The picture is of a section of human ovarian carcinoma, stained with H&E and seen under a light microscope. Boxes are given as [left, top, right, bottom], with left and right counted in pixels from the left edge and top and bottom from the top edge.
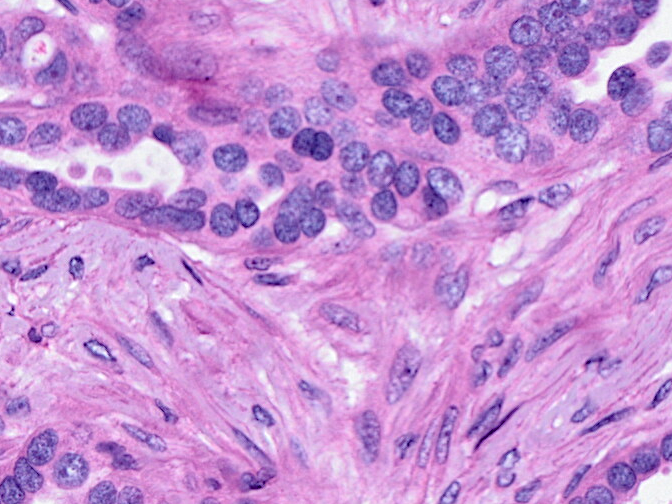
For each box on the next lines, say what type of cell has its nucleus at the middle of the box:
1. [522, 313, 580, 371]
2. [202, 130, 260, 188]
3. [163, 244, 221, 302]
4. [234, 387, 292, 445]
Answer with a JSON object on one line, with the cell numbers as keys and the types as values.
{"1": "fibroblast", "2": "carcinoma cell", "3": "fibroblast", "4": "fibroblast"}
